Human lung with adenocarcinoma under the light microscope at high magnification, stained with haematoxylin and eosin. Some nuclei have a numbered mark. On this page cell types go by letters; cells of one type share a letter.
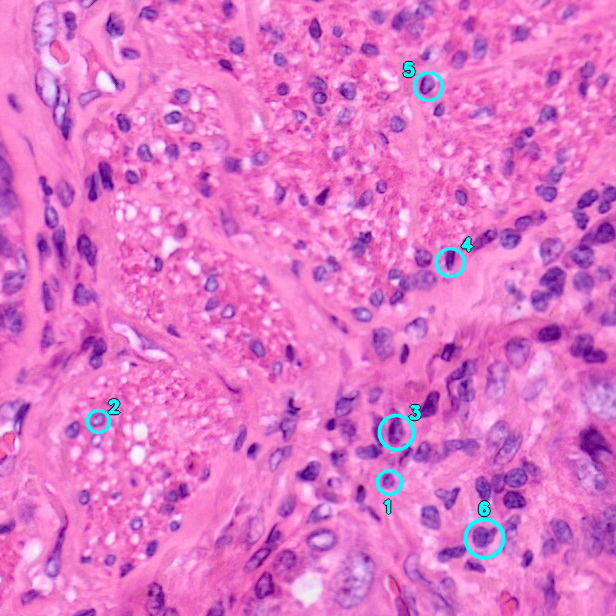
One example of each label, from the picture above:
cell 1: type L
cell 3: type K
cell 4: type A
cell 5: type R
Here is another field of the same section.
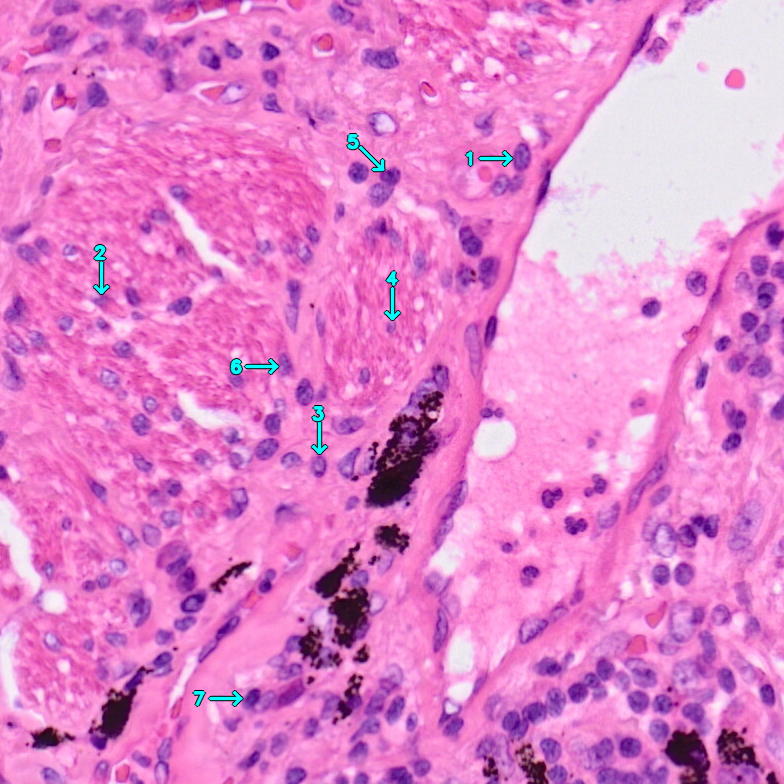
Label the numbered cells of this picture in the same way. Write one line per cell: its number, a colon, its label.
1: type R
2: type A
3: type R
4: type A
5: type L
6: type A
7: type L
